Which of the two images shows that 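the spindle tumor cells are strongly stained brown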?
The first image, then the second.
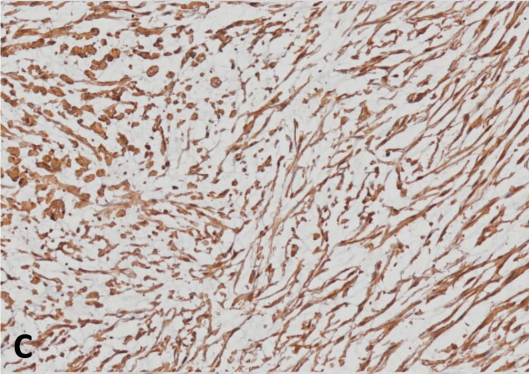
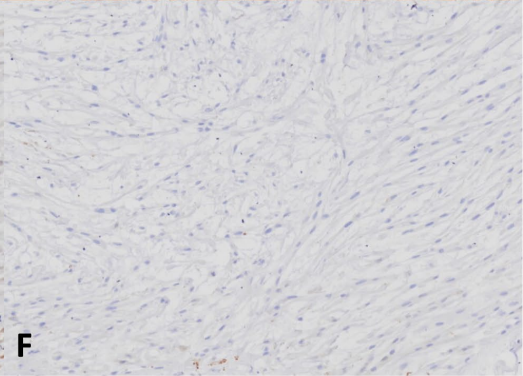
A: the first image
